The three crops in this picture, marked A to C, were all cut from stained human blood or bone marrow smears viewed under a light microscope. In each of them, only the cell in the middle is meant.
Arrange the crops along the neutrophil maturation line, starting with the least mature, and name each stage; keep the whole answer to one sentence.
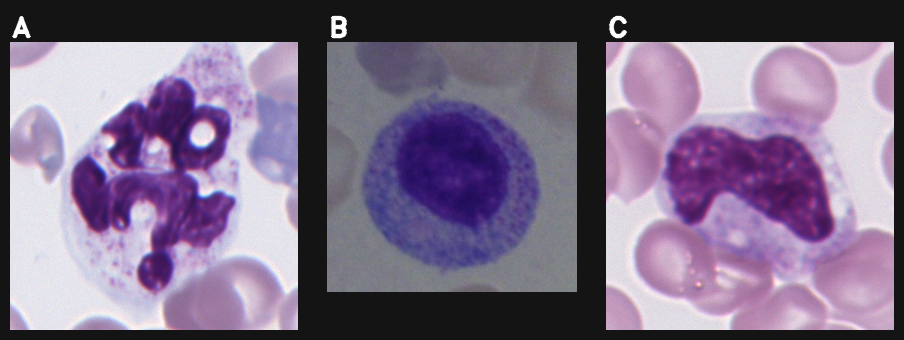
Taken from least to most mature, the sequence is crop B (a myelocyte), crop C (a band neutrophil) and crop A (a segmented neutrophil).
